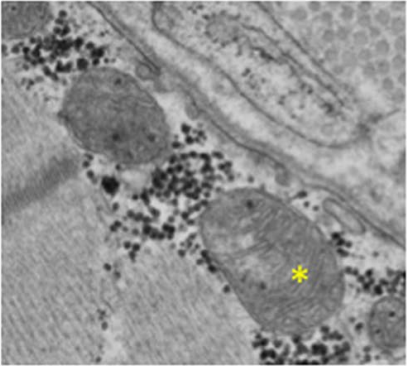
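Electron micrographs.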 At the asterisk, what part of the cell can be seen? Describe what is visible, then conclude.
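The marked oval organelle has a double membrane and internal cristae. It lies beside myofibrils with surrounding dark granules. That points to this answer: mitochondria.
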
